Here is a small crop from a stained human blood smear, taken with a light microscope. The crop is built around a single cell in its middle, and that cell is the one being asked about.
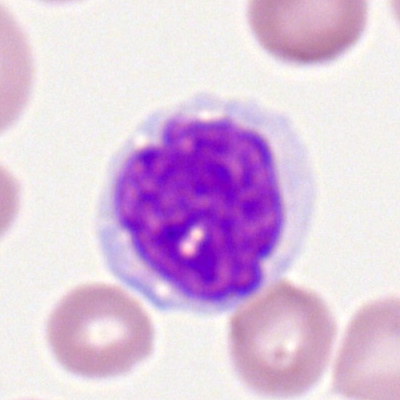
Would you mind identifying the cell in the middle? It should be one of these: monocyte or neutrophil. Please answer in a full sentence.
As for the cell in the middle, it is a monocyte.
